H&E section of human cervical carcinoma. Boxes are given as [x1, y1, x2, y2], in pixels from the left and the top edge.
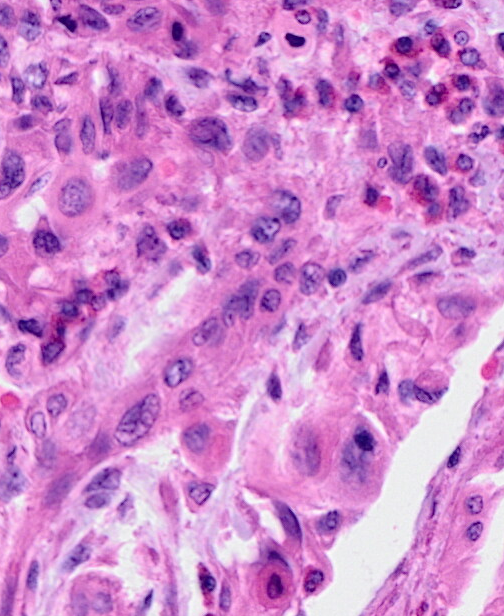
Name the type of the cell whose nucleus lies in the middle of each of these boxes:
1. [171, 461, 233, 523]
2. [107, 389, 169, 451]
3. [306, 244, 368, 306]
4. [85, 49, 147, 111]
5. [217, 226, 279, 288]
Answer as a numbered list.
1. macrophage or monocyte
2. squamous carcinoma cell
3. lymphocyte
4. squamous carcinoma cell
5. squamous carcinoma cell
